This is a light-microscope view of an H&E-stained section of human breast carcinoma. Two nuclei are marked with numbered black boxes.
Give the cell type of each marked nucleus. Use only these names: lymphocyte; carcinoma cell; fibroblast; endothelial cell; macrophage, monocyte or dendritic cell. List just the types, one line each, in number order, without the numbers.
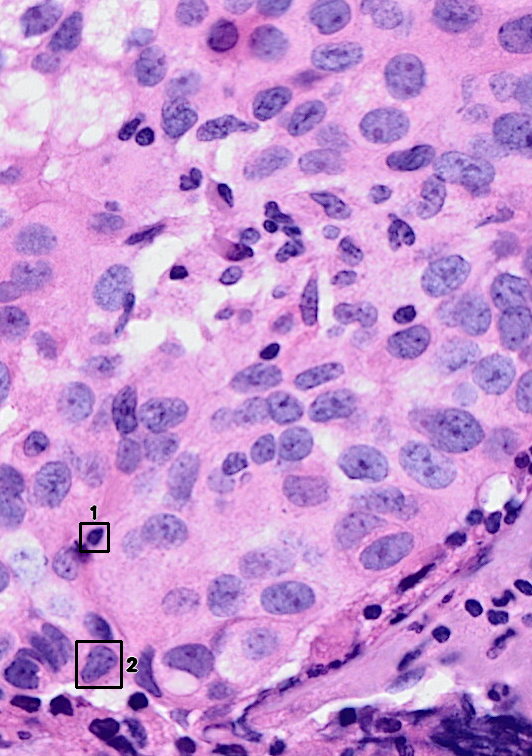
lymphocyte
carcinoma cell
